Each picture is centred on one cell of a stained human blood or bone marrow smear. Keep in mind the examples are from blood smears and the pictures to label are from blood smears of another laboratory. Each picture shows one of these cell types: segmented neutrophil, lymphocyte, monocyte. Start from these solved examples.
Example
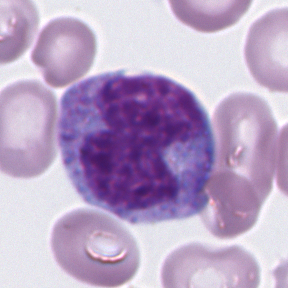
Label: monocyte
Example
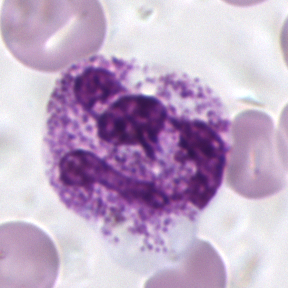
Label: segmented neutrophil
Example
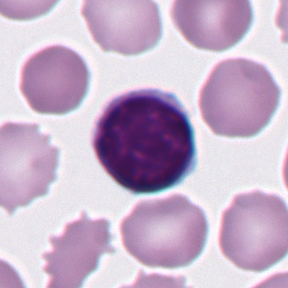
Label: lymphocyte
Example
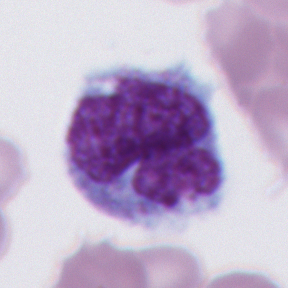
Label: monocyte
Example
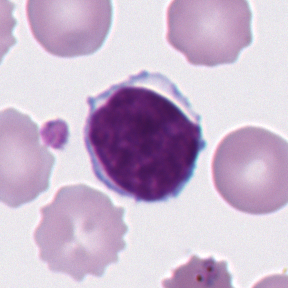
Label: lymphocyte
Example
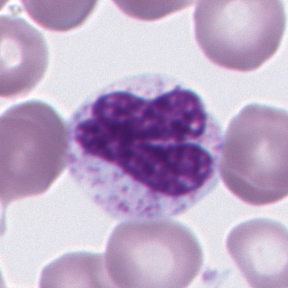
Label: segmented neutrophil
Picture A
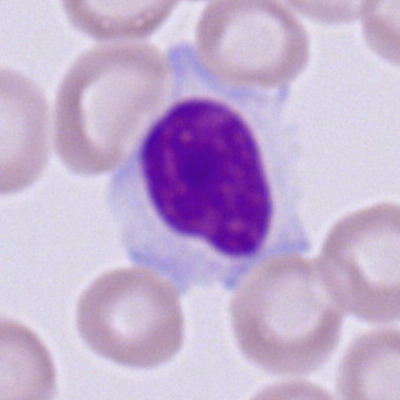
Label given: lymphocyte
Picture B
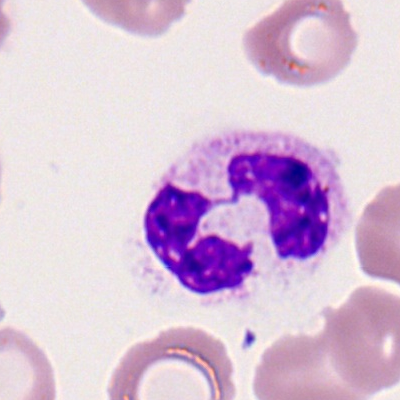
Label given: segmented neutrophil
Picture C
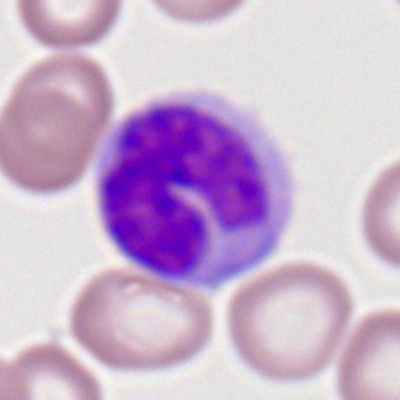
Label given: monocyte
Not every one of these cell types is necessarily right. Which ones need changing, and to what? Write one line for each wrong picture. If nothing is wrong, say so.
Every label is right.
